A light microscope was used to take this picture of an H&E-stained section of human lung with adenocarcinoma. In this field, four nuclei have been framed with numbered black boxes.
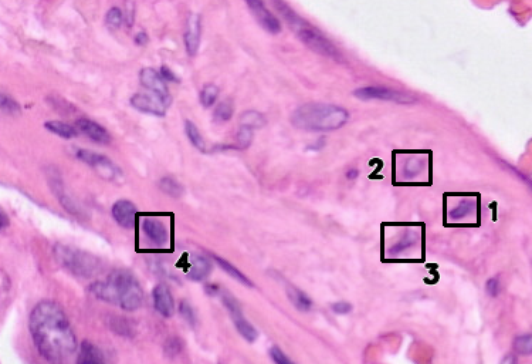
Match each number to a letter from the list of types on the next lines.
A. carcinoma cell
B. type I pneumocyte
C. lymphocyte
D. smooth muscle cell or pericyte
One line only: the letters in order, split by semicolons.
D; D; D; C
